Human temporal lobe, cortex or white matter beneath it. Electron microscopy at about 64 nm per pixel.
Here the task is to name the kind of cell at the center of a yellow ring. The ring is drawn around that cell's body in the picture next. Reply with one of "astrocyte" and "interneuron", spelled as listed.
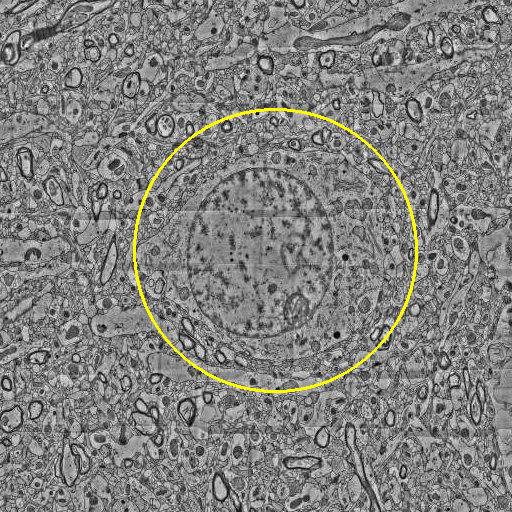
interneuron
